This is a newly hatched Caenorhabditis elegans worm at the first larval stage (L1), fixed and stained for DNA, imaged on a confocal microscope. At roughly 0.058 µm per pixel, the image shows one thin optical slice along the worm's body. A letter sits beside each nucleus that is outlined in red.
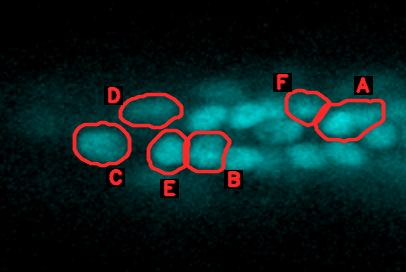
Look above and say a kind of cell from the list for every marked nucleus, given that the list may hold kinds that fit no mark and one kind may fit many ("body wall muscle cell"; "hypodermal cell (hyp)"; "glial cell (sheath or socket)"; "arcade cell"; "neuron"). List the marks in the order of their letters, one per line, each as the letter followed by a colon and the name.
A: glial cell (sheath or socket)
B: hypodermal cell (hyp)
C: hypodermal cell (hyp)
D: body wall muscle cell
E: arcade cell
F: glial cell (sheath or socket)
